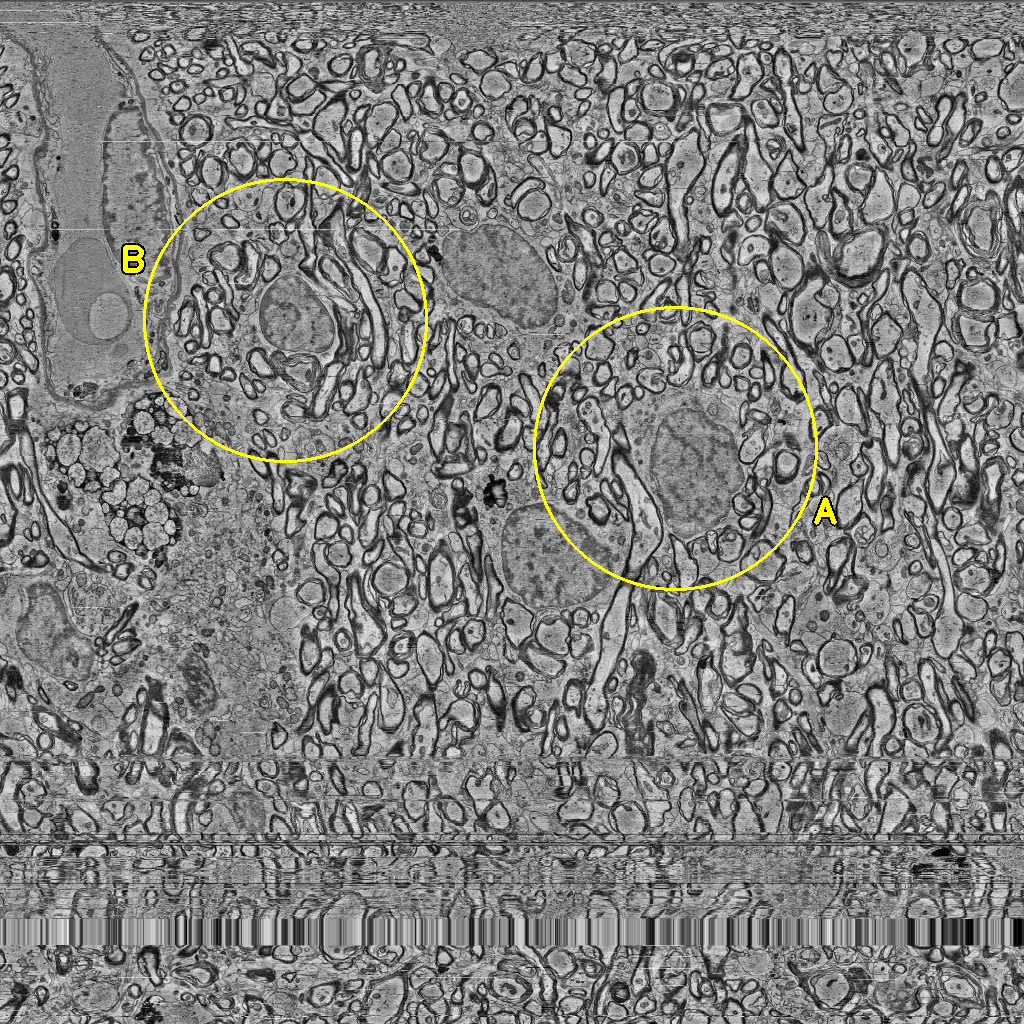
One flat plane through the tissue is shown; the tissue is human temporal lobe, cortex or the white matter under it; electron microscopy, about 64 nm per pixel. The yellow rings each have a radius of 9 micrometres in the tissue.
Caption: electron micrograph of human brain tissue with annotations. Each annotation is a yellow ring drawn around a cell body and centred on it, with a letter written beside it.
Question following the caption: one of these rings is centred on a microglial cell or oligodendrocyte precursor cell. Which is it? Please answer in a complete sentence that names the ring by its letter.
The ring with the letter B is centred on it.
